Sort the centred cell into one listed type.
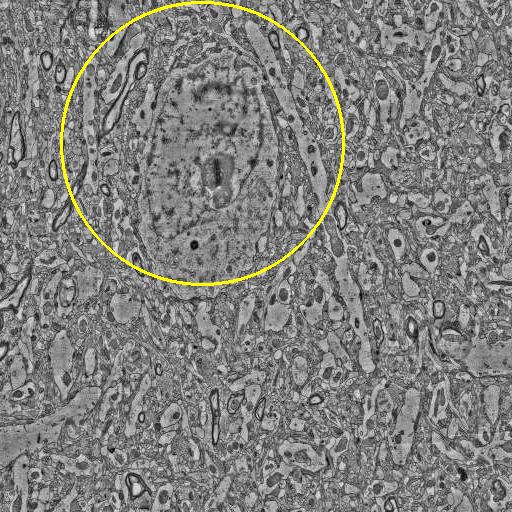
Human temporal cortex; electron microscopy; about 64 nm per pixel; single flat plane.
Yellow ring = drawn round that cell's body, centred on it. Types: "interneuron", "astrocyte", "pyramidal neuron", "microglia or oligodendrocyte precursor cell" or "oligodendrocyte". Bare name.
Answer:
interneuron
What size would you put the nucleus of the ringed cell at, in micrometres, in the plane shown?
The nucleus works out at approximately 10 by 7 micrometres in this plane.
